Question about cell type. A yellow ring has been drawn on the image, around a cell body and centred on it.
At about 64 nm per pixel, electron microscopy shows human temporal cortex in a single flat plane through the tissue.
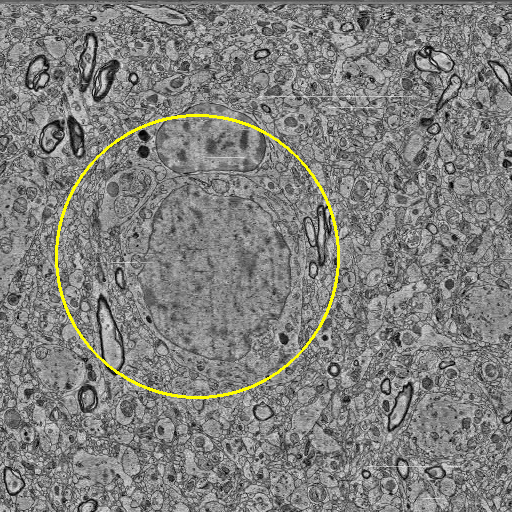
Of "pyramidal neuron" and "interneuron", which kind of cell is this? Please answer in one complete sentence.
At the centre of the ring lies an interneuron.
